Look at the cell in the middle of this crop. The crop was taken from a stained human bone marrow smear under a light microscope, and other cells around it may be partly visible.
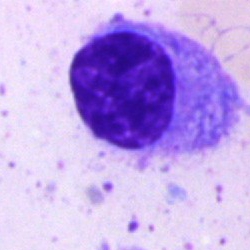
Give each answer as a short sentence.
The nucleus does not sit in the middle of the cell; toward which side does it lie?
The nucleus is pushed toward the left of the cell.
